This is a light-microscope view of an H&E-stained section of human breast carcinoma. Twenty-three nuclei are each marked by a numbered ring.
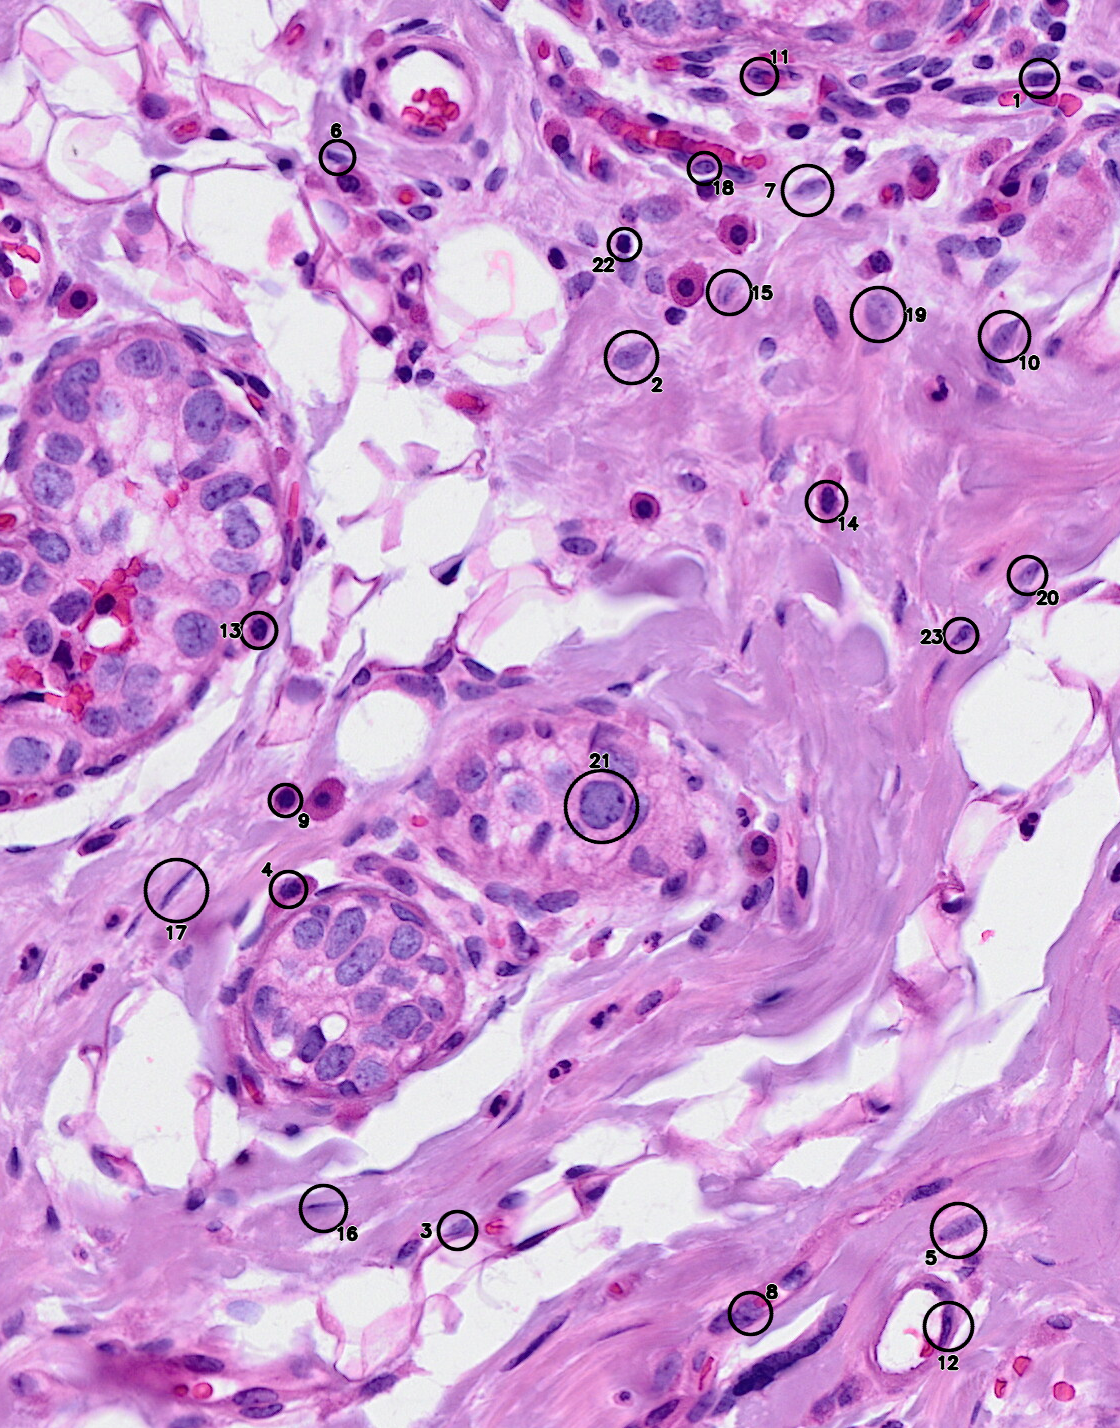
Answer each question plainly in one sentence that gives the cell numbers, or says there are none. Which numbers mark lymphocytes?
Only one marked cell, number 22, is a lymphocyte.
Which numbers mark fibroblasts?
Cells 2, 3, 5, 6, 7, 10, 15, 16, 17, 19, 20 and 23 are fibroblasts by cell type.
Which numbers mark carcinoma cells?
Only the cell with the number 21 is a carcinoma cell.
